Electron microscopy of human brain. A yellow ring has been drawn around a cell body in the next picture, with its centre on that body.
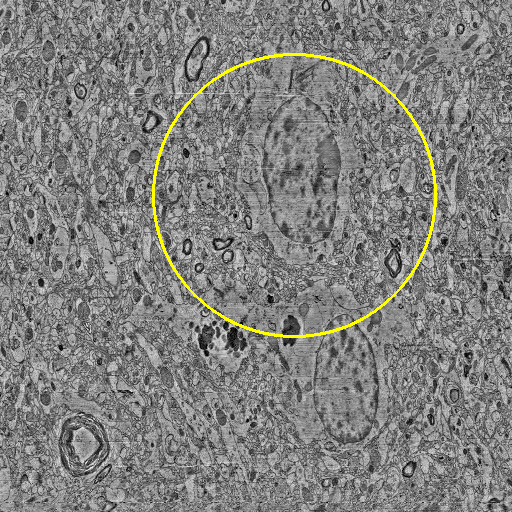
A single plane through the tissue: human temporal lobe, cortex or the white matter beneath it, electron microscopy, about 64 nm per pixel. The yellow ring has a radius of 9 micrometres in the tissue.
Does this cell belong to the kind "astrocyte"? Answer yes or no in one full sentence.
Yes, the ringed cell in this picture, sitting at the ring's centre, is of that kind.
